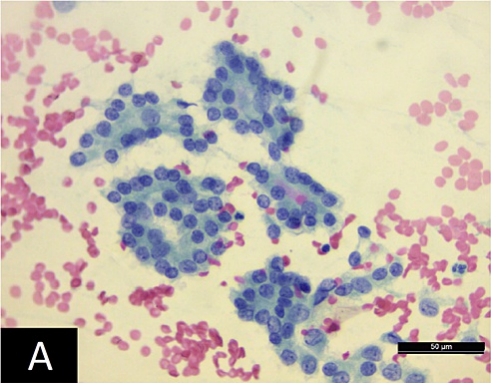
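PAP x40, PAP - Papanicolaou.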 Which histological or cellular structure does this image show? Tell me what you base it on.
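Small clusters of epithelial cells arranged in rings around a central space. Nuclei are round, uniform and crowded. Red blood cells fill the background.
Microfollicles.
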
